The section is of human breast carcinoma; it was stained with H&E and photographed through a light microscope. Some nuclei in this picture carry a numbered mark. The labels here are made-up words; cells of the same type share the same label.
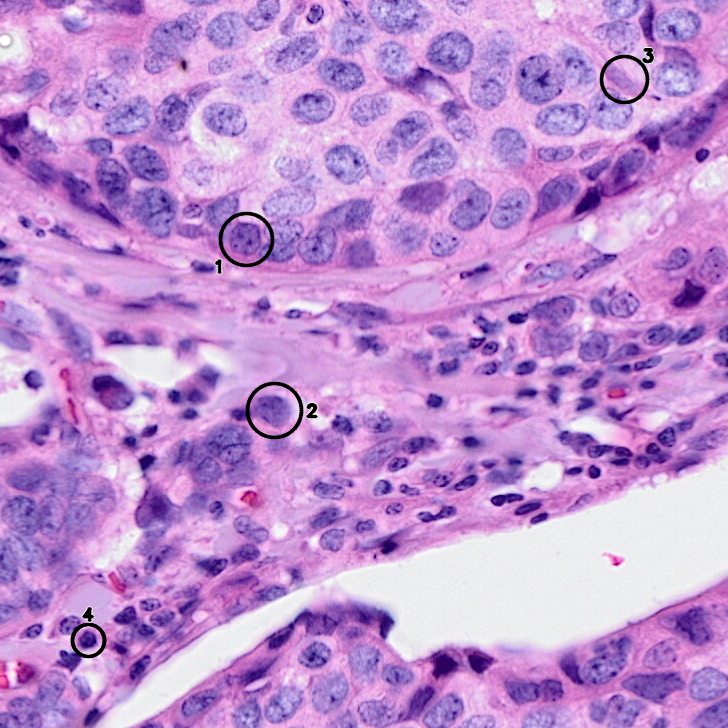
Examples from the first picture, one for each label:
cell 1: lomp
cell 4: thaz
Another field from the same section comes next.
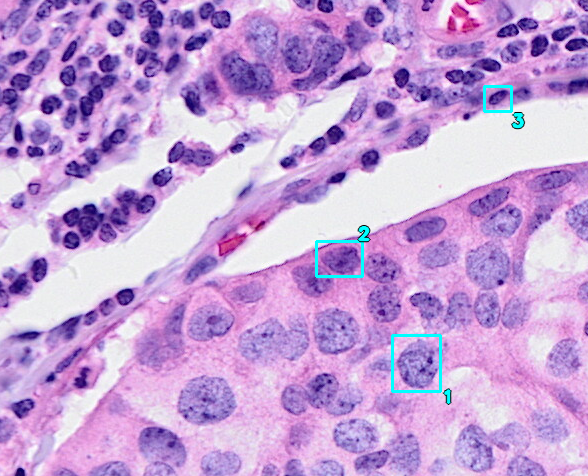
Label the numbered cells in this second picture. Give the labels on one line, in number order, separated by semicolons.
lomp; lomp; thaz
